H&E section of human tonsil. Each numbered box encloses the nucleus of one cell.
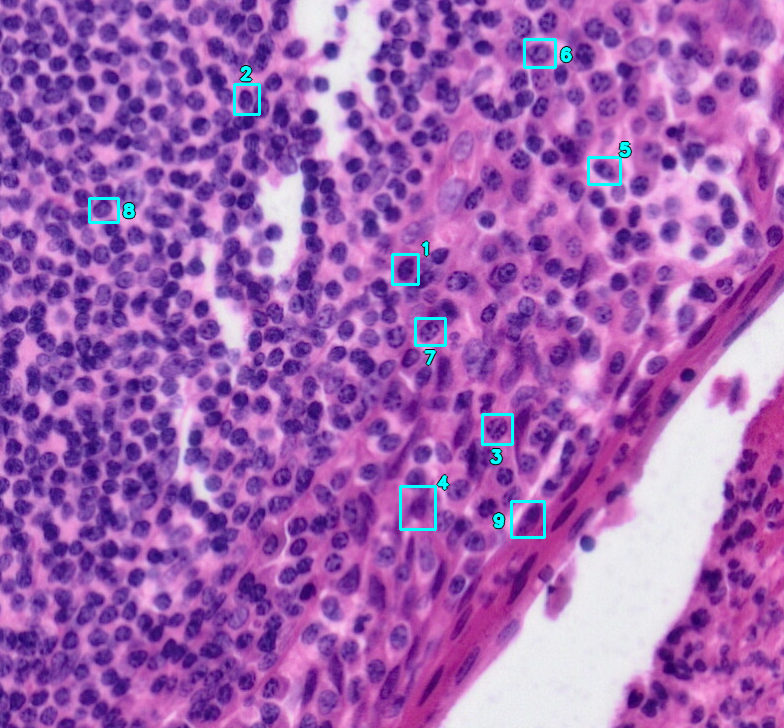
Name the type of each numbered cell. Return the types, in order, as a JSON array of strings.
["plasma cell", "small lymphocyte", "plasma cell", "squamous epithelial cell", "plasma cell", "plasma cell", "plasma cell", "small lymphocyte", "squamous epithelial cell"]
